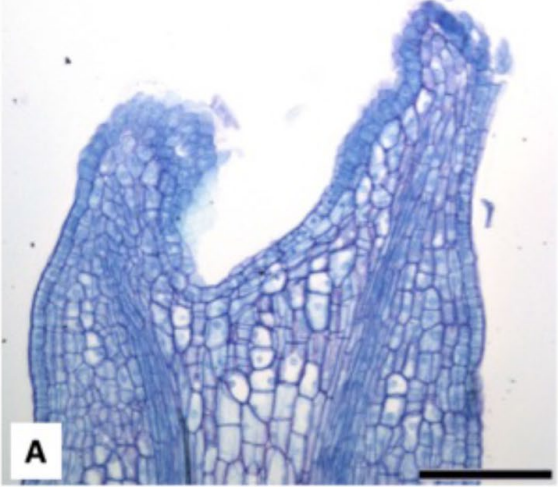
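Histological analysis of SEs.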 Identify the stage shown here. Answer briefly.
Cotyledonary stage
